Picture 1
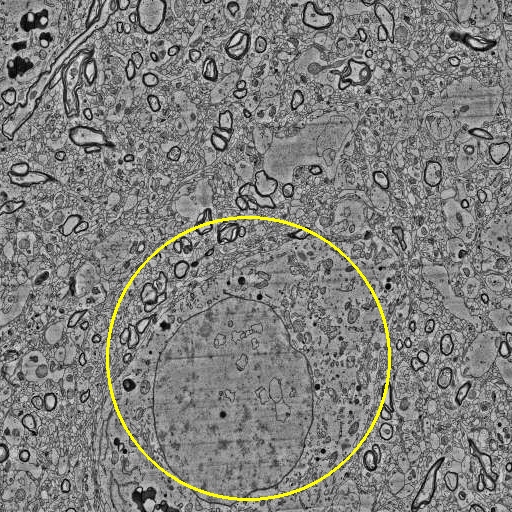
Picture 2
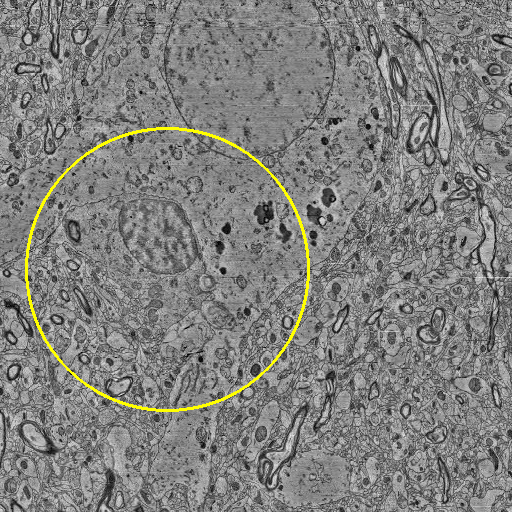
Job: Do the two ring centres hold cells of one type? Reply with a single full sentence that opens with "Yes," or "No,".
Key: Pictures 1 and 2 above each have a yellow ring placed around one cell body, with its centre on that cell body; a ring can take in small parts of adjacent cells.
No, the cells at the two ring centres are of two separate types.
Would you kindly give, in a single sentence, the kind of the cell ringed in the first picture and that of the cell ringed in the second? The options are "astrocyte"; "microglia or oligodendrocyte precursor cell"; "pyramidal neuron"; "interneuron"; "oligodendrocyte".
The second cell is an oligodendrocyte, and the first cell is a pyramidal neuron.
